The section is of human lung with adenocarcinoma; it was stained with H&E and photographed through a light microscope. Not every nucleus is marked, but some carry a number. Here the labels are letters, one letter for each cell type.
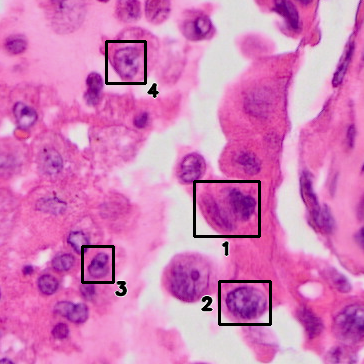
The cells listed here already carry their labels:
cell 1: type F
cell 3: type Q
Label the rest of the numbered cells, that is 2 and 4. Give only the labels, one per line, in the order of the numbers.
type F
type Q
